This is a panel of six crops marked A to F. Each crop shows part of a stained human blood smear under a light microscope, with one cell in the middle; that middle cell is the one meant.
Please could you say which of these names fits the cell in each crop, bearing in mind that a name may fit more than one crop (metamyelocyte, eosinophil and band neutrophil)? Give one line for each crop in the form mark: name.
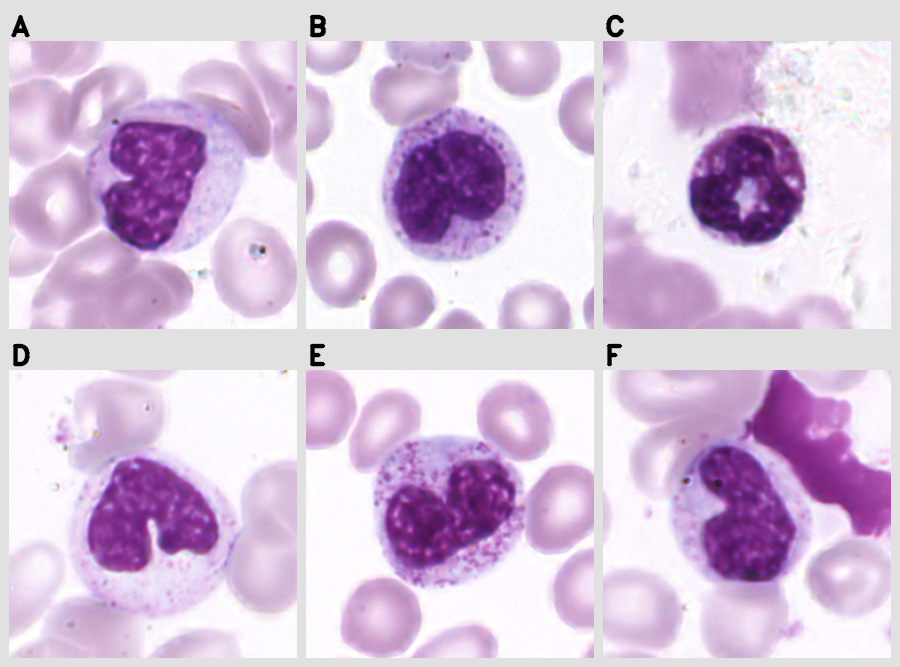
A: band neutrophil
B: metamyelocyte
C: eosinophil
D: band neutrophil
E: band neutrophil
F: band neutrophil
